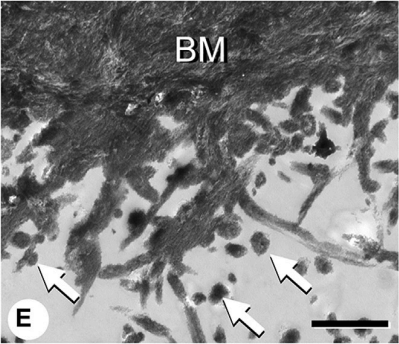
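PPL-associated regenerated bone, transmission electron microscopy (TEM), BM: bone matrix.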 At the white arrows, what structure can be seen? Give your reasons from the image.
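Small round electron-dense bodies lie scattered in the pale material. Dense elongated rods extend from the dark matrix at the top.
Conclusion: calcified nodules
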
